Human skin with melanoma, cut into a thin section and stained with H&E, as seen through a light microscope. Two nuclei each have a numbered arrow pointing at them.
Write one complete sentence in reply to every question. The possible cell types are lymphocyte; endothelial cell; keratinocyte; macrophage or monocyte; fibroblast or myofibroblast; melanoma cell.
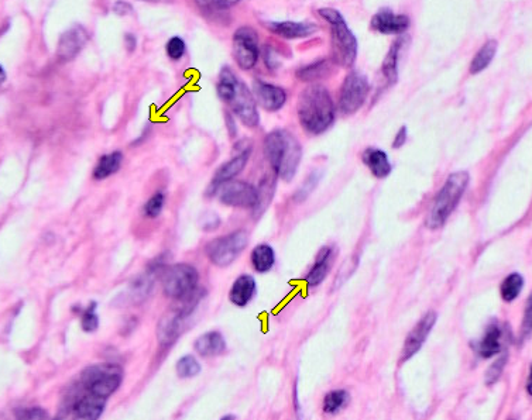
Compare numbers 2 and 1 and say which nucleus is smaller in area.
The smaller nucleus is 2, and 1 covers roughly 2.5 times its area.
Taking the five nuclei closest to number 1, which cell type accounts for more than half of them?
Of the five nuclei nearest to number 1, most belong to fibroblasts or myofibroblasts.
